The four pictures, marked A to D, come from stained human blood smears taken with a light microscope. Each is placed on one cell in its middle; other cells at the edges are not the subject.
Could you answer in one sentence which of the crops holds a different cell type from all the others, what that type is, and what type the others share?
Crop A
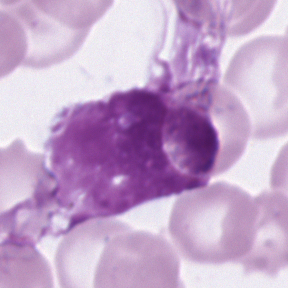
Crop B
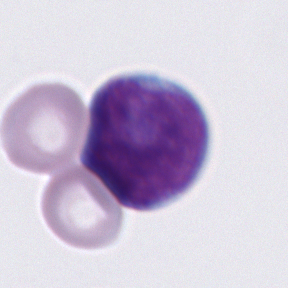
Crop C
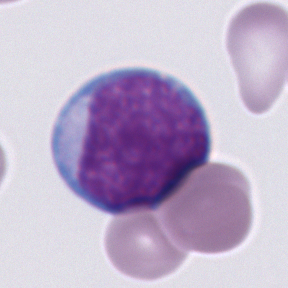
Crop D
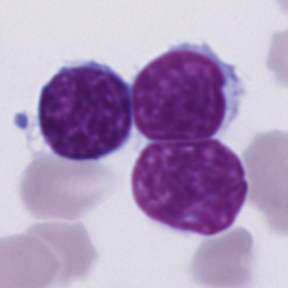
The central cell of crop A is a smudge cell, while the other crops show myeloblasts.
